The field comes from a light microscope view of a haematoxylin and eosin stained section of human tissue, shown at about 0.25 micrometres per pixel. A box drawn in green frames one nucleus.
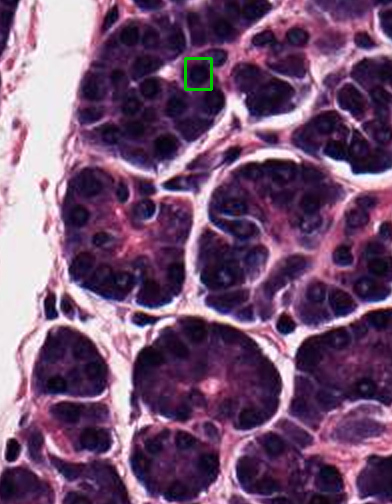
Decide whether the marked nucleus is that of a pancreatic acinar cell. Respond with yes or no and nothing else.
yes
